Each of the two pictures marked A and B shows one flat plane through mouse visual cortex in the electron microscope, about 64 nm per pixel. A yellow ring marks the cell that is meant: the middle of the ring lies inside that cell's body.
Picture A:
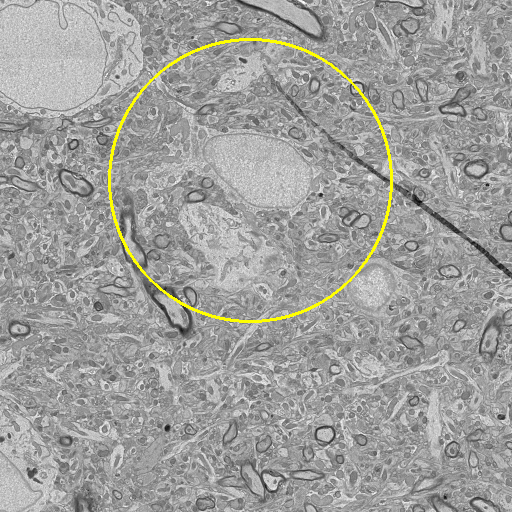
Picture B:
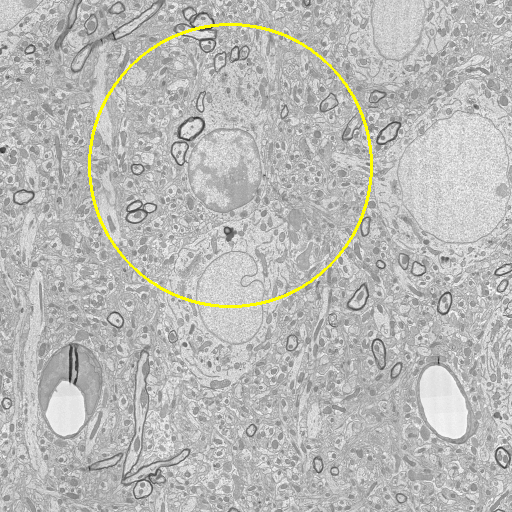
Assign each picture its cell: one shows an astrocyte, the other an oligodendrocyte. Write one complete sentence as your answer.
The cell in picture A is an astrocyte, and the one in picture B is an oligodendrocyte.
